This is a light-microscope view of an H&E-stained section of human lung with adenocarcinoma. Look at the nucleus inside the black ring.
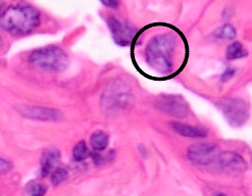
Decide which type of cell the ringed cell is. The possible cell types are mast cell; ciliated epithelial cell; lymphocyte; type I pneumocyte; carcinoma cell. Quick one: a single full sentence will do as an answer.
In this preparation, the ringed cell is a carcinoma cell.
